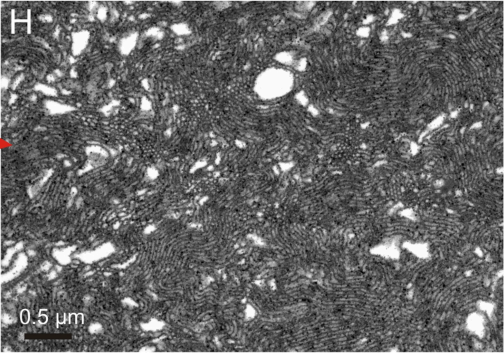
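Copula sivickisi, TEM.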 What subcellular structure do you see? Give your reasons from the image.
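The field is filled with closely packed thin tubular membrane profiles. The profiles run in swirling, parallel arrays. Scattered pale gaps lie between the packed profiles. The answer: densely packed microvilli.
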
